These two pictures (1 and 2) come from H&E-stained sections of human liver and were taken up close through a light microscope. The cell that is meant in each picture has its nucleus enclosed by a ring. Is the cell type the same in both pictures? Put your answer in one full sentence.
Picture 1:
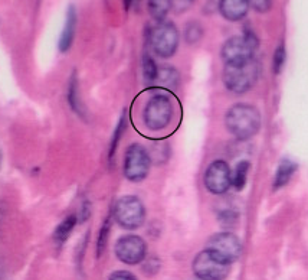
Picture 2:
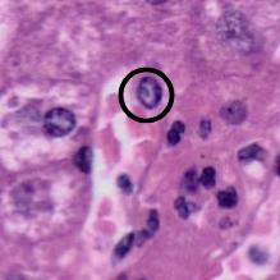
No, they differ: the cell is a cholangiocyte in picture 1 and a Kupffer cell in picture 2.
